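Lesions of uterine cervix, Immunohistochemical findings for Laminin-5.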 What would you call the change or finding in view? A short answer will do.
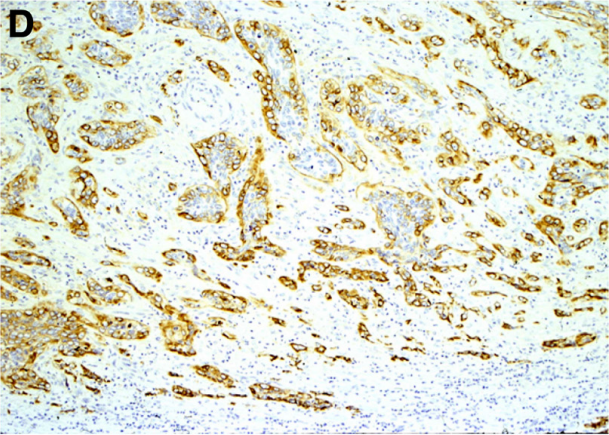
Invasive adenocarcinoma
